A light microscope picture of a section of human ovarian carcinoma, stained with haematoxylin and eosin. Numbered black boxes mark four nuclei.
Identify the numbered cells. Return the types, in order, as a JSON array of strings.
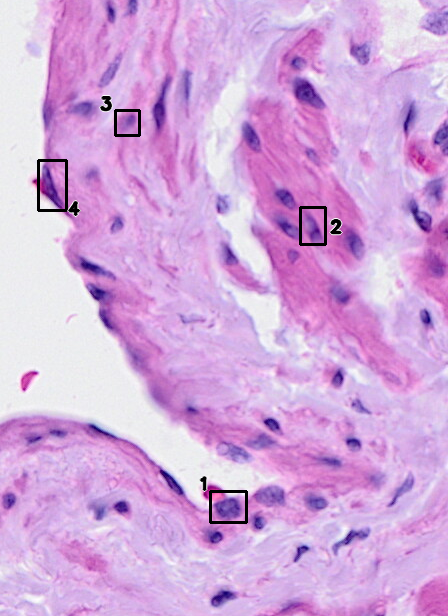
["endothelial cell", "smooth muscle cell", "smooth muscle cell", "endothelial cell"]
